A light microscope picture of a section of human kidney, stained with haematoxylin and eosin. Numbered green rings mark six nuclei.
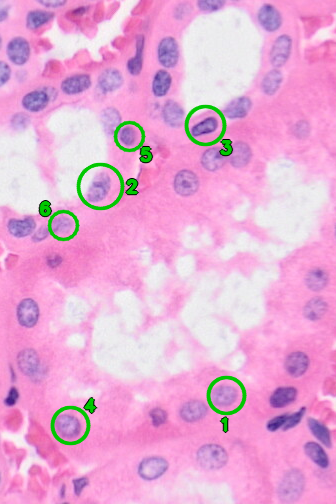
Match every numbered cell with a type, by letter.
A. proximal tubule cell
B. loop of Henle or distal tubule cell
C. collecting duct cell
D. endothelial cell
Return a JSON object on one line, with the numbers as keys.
{"1": "A", "2": "C", "3": "C", "4": "A", "5": "C", "6": "C"}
